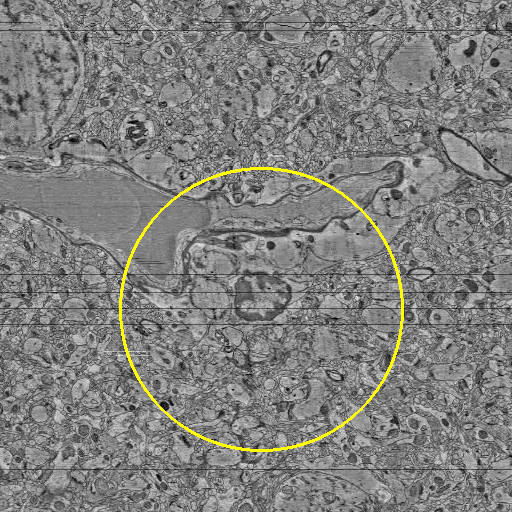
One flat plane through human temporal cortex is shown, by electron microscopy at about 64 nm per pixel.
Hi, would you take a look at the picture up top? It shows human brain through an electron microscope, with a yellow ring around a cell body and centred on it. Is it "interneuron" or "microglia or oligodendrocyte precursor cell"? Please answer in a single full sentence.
The best fit for the cell in the middle of the ring is a microglial cell or oligodendrocyte precursor cell, I reckon.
